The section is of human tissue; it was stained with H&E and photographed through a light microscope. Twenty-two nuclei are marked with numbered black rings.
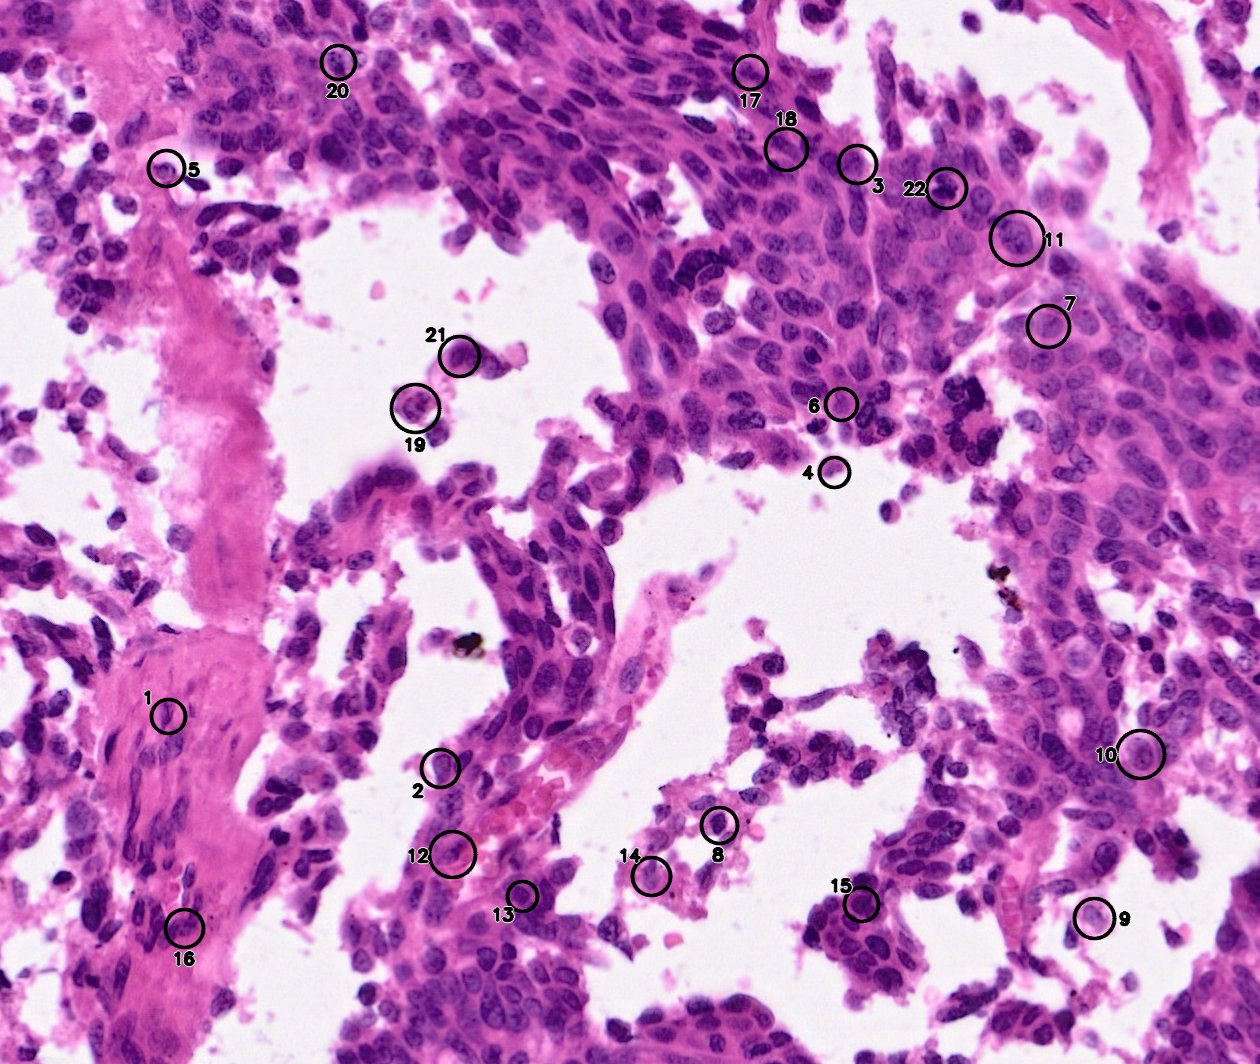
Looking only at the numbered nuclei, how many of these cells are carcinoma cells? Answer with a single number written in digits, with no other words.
12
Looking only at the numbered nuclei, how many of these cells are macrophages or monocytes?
7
